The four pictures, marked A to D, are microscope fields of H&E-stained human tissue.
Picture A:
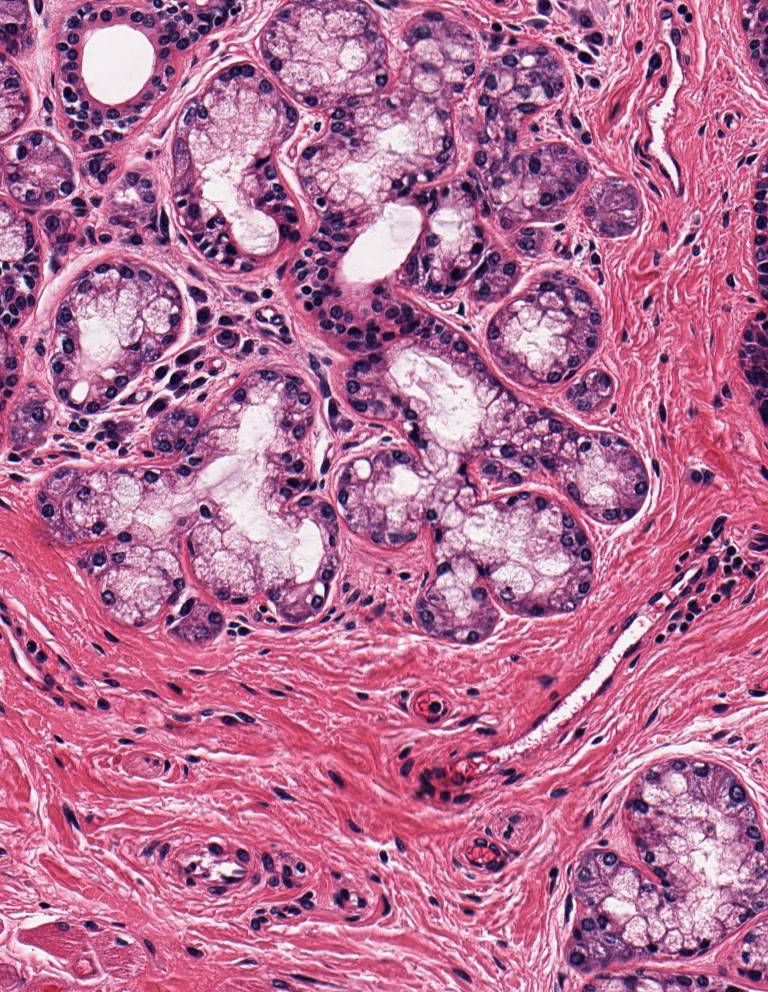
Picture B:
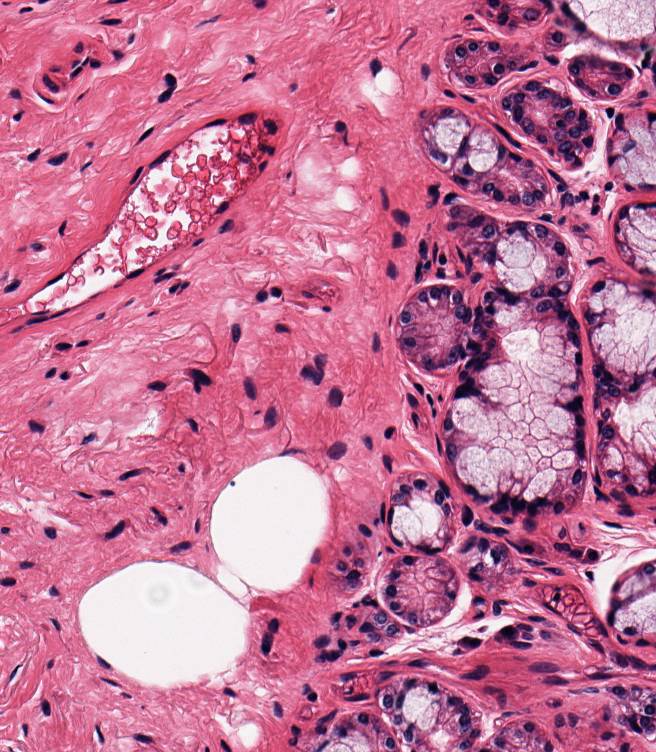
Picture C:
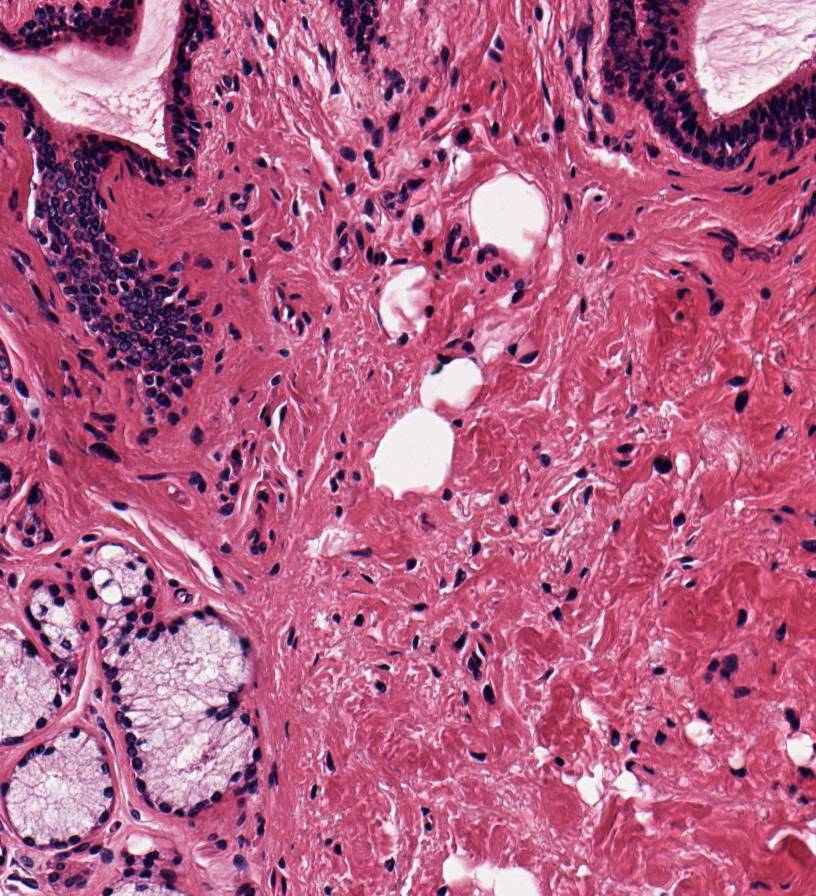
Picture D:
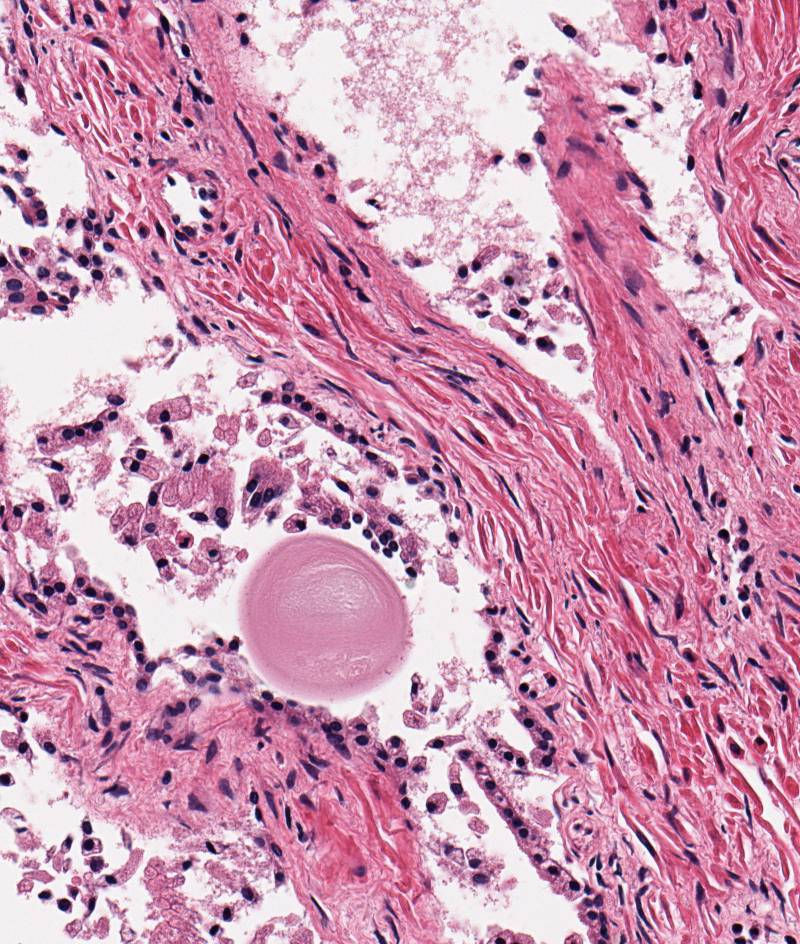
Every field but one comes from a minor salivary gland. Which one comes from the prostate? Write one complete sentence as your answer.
The one that comes from the prostate is picture D.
